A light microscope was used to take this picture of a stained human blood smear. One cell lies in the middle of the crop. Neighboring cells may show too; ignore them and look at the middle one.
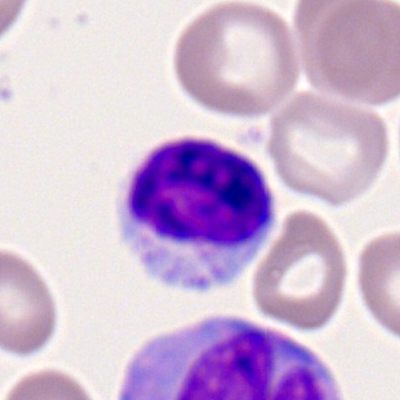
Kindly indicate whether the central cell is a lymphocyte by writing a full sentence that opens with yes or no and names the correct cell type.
Yes, the crop's central cell is a lymphocyte.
